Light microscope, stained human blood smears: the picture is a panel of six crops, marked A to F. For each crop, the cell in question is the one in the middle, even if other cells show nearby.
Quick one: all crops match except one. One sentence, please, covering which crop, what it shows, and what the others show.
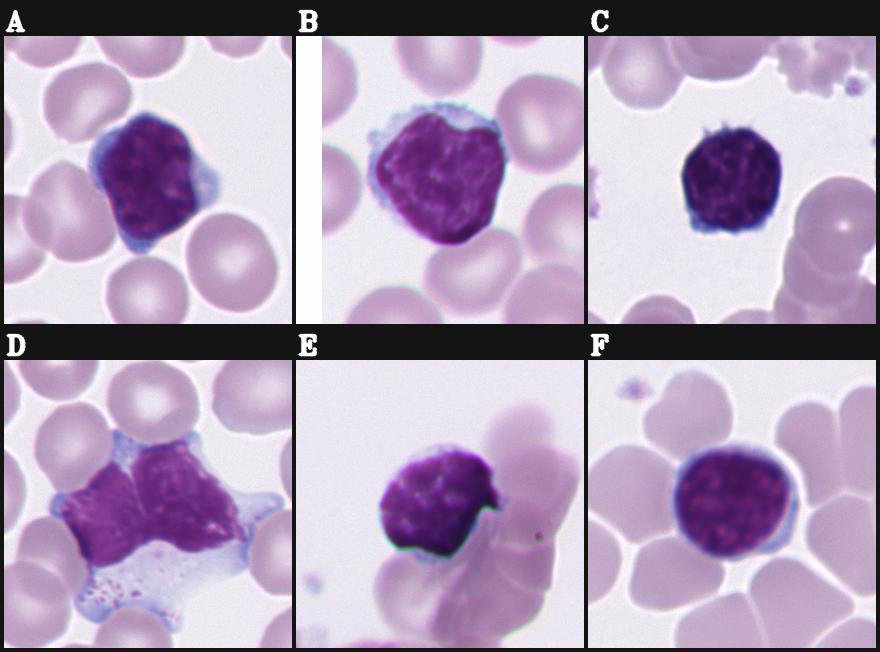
Crop D breaks the pattern as a large granular lymphocyte; the other crops all contain typical lymphocytes.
